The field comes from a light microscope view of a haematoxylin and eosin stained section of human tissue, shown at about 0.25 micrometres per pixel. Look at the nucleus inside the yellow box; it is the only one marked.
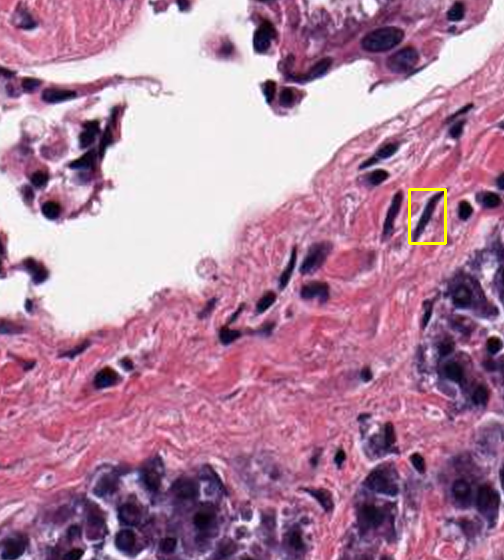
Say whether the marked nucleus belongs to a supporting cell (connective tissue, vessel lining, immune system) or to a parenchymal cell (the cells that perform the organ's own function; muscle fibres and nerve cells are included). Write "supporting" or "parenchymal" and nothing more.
supporting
